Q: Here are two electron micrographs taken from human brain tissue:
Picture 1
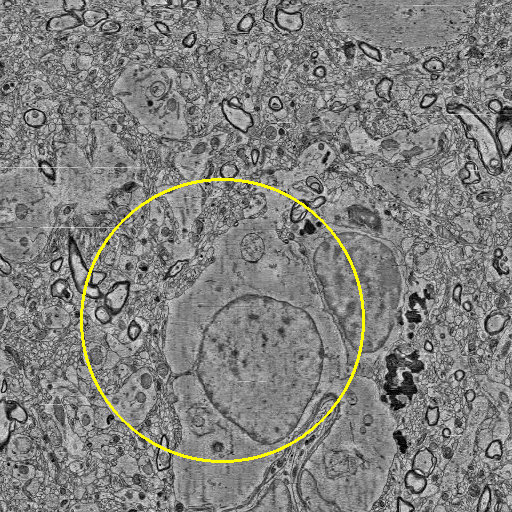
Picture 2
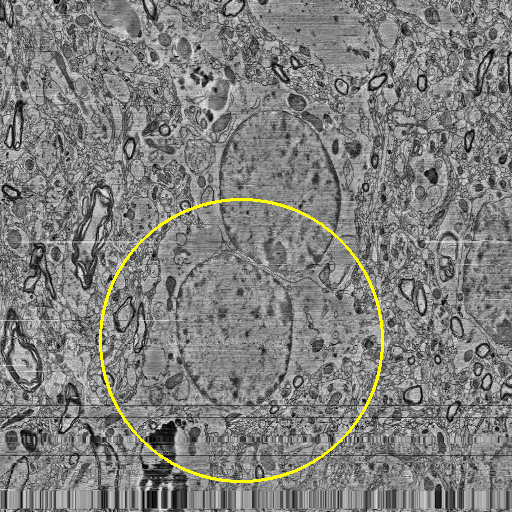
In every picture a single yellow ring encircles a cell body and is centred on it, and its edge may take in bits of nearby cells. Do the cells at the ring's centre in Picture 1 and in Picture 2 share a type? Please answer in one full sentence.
Yes, the cells at the ring's centre in Picture 1 and Picture 2 share a type.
